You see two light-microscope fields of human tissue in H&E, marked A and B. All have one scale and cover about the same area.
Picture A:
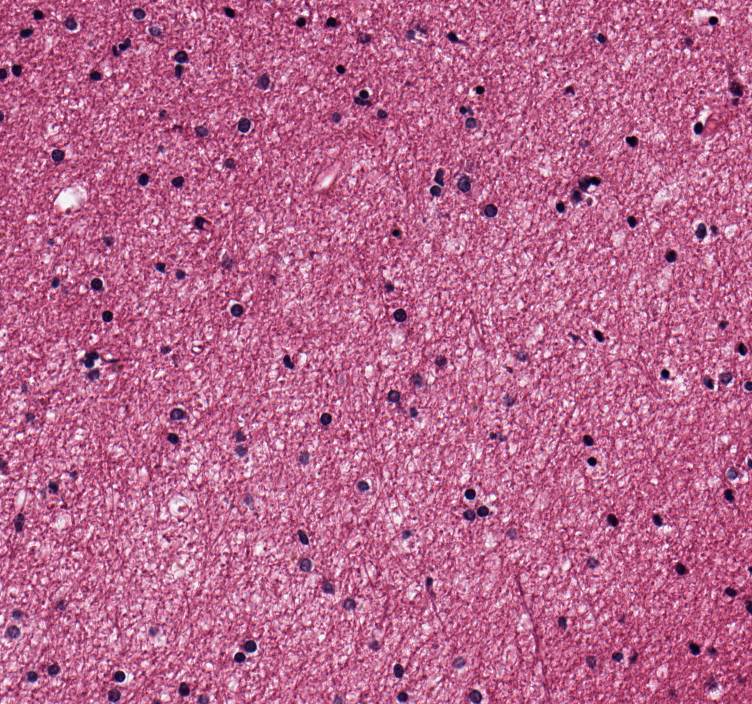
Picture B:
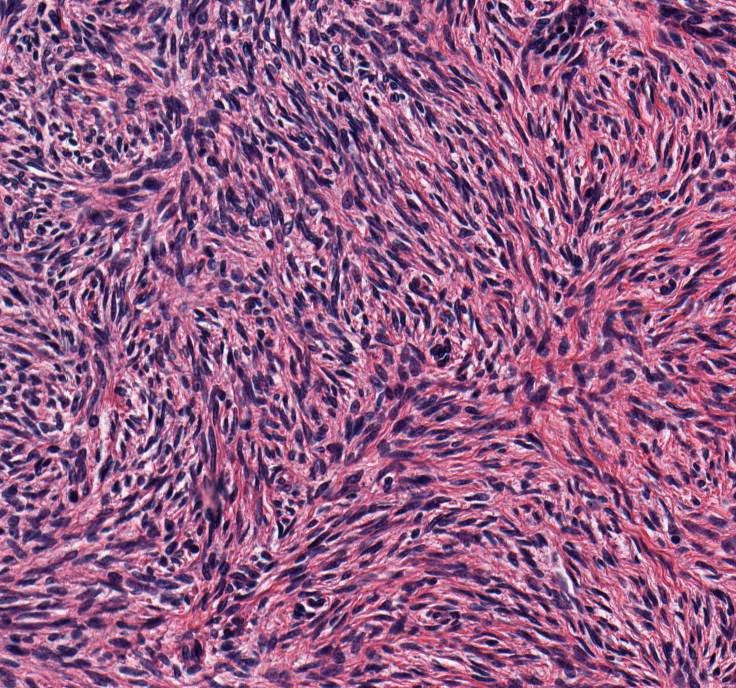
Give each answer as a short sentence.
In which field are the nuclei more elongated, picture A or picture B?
The nuclei are more elongated in picture B.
